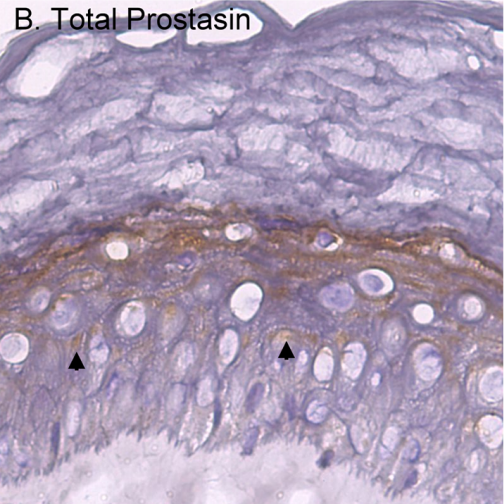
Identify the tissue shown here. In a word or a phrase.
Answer: Epidermis.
